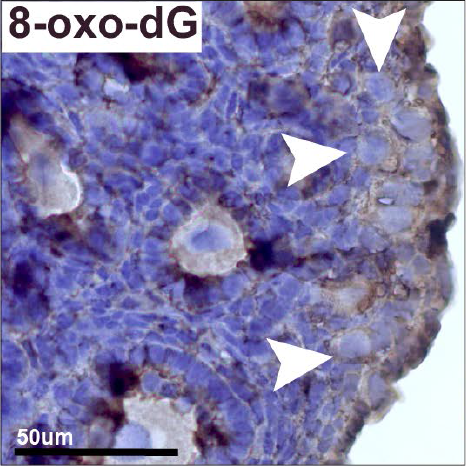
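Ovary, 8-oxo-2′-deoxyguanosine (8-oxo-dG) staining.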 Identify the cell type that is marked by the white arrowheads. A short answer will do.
Primordial oocytes.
